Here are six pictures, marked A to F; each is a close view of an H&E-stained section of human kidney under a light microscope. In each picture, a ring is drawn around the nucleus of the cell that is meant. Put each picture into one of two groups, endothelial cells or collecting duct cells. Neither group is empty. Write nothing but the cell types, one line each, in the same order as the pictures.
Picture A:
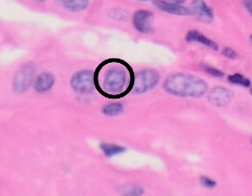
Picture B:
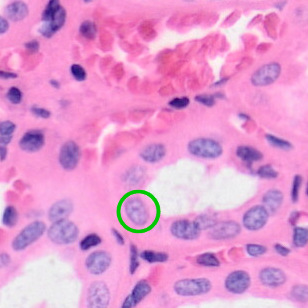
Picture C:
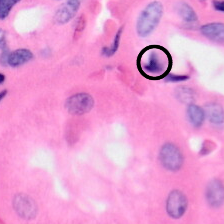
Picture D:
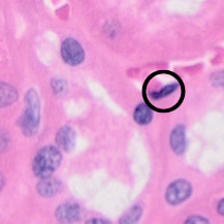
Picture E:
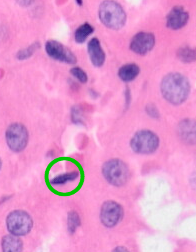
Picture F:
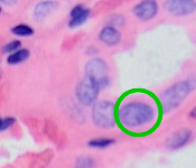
collecting duct cell
collecting duct cell
collecting duct cell
endothelial cell
endothelial cell
collecting duct cell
